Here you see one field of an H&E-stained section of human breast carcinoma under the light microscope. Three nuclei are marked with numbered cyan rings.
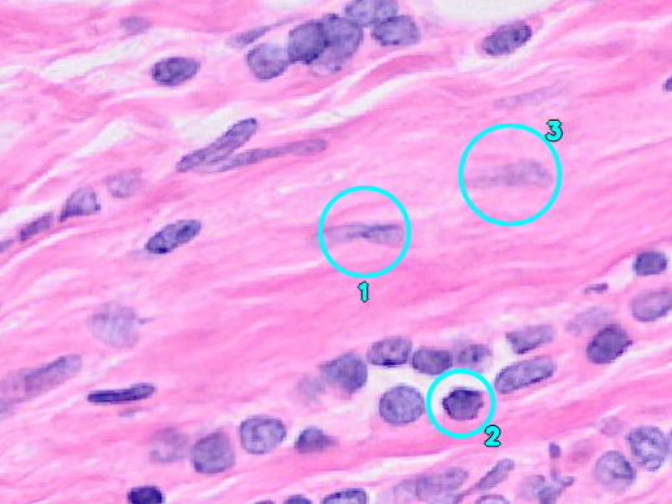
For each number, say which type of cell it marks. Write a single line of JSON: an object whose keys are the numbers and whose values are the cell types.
{"1": "fibroblast", "2": "carcinoma cell", "3": "fibroblast"}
